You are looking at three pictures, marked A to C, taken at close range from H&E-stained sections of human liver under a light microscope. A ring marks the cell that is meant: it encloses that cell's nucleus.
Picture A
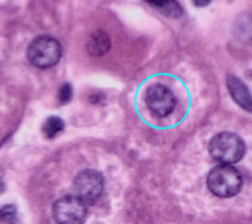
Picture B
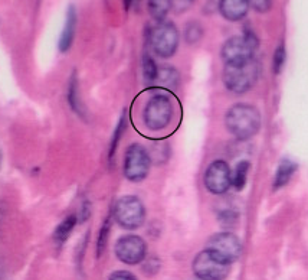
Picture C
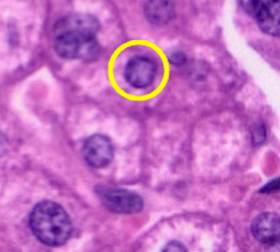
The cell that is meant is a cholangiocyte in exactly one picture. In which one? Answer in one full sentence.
Picture B is the one that shows the cholangiocyte.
